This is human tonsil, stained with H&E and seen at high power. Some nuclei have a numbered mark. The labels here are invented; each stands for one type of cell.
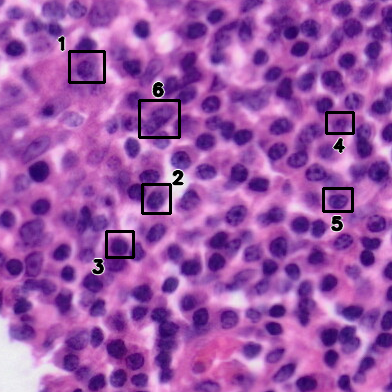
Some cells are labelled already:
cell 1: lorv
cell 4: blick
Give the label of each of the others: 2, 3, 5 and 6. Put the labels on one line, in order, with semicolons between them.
blick; blick; blick; lorv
